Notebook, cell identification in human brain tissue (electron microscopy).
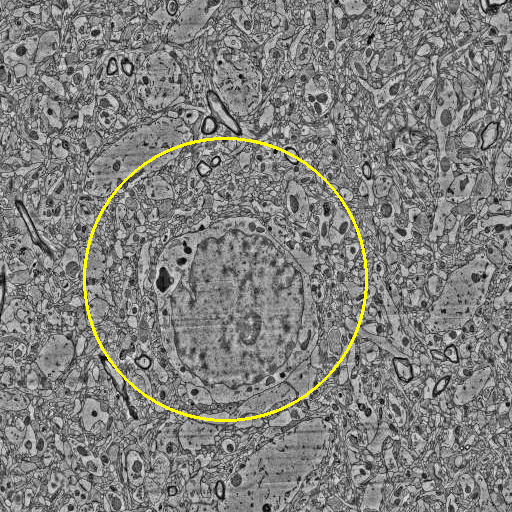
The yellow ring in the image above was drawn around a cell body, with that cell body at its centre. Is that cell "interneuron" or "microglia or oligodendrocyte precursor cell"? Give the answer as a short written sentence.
The cell in the ring is an interneuron.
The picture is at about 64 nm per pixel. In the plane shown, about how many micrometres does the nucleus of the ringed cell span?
In this plane, roughly 10 by 8 micrometres.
